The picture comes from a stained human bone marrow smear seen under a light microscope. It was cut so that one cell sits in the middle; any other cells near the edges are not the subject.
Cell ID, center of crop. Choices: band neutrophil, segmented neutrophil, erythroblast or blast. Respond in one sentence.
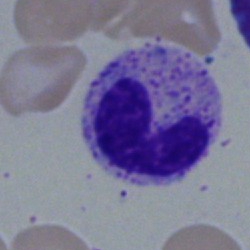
At the middle of the frame sits a band neutrophil.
